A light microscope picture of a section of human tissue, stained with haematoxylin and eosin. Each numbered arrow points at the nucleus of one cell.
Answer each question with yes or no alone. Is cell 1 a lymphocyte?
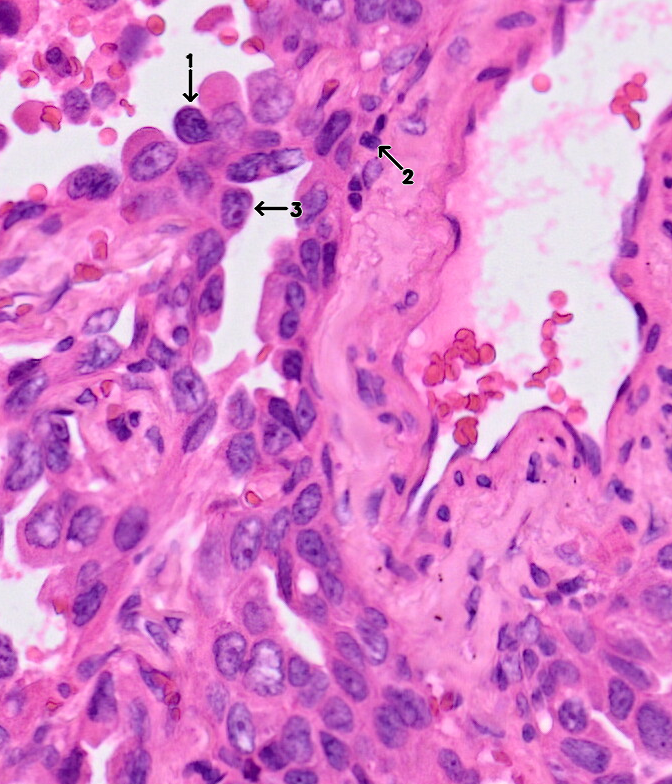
no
